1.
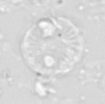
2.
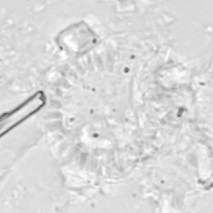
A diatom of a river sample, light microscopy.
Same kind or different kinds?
Same: Cyclotella.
